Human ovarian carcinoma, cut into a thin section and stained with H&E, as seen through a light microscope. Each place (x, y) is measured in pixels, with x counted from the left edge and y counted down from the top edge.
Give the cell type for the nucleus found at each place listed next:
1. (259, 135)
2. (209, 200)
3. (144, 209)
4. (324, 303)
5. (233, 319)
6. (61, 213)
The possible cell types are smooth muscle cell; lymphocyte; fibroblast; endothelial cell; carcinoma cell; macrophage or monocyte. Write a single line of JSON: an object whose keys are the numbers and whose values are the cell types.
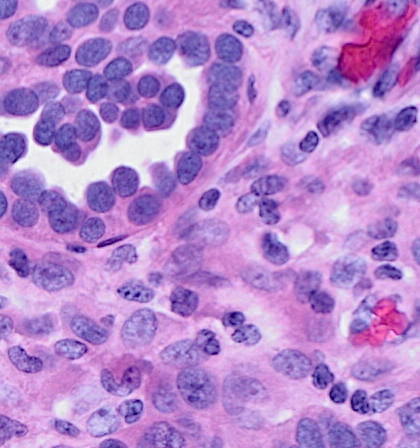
{"1": "fibroblast", "2": "lymphocyte", "3": "carcinoma cell", "4": "lymphocyte", "5": "lymphocyte", "6": "carcinoma cell"}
